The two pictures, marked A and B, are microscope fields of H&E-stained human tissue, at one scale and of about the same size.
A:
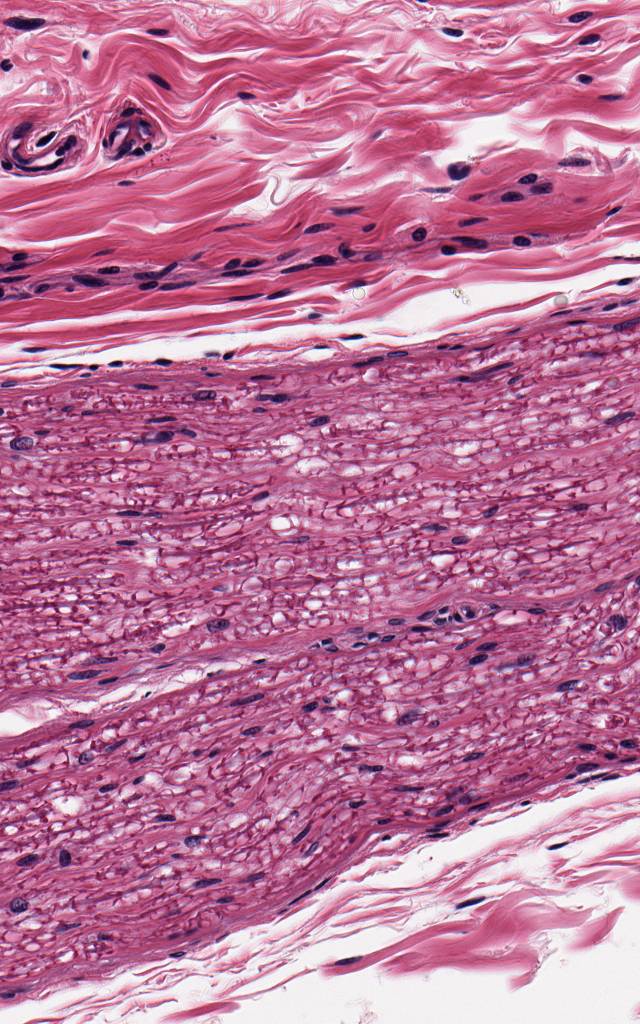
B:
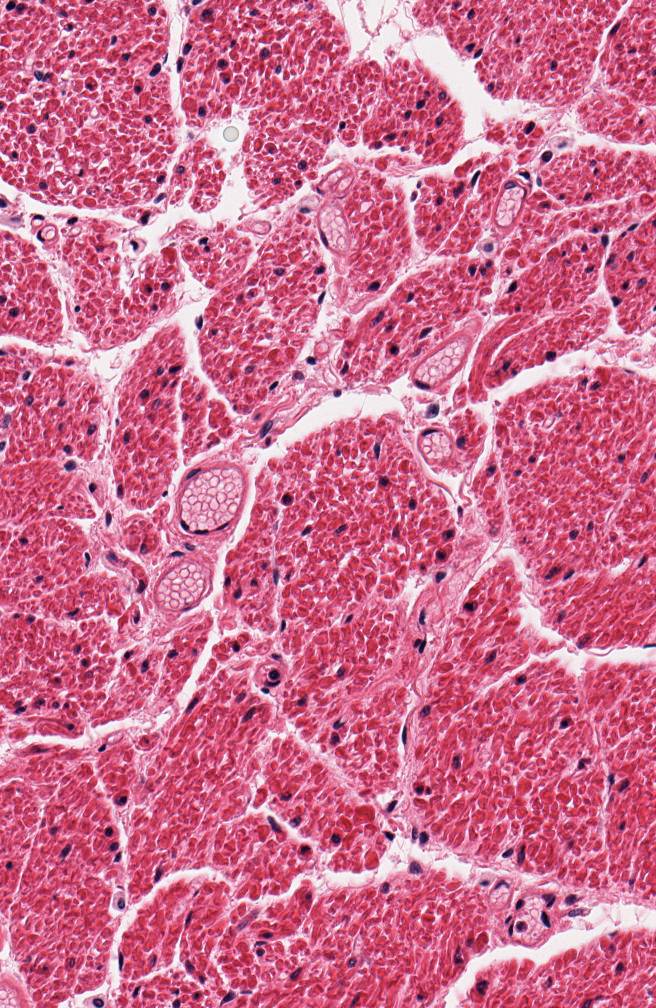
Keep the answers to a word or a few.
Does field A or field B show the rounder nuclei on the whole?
B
